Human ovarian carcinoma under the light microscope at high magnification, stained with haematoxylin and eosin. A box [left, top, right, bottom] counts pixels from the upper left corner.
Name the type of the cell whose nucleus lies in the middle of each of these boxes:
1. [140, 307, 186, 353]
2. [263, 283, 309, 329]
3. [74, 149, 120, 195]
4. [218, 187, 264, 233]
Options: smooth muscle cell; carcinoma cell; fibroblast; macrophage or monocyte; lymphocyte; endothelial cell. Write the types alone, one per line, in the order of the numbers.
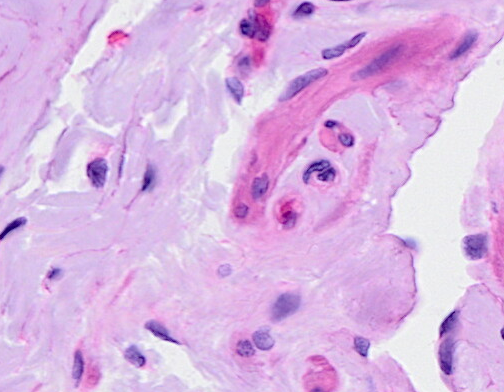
fibroblast
fibroblast
fibroblast
smooth muscle cell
